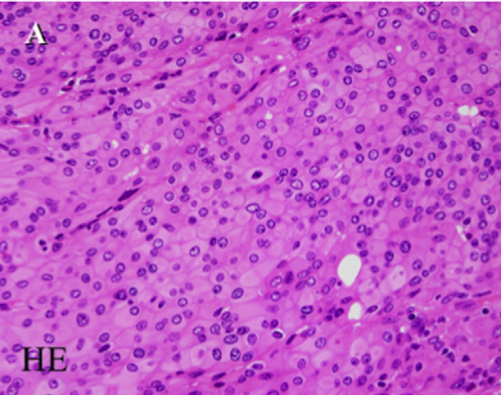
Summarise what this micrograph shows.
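This is a tumour made of epithelioid cells growing in solid sheets. The cells are polygonal with fairly distinct borders and abundant cytoplasm that ranges from pink to pale and clear. Their nuclei are round to oval, somewhat enlarged, with fine chromatin and small nucleoli. Thin strands carrying narrow vessels with dark elongated nuclei run between groups of cells, dividing them into sheets and nests. A few small empty round spaces are scattered among the cells.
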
